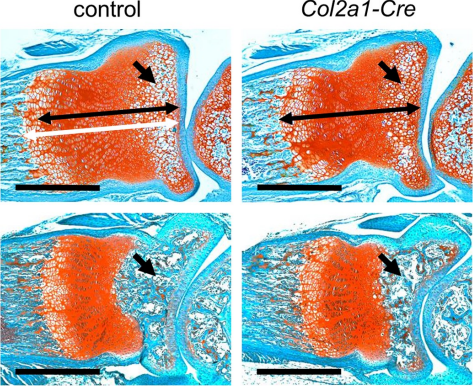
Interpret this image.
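These are sections through the end of a long bone with its cartilage. A large block of cartilage stains intense red-orange, and small chondrocytes sit within it in lacunae. Toward the shaft, the cells become larger and paler and are stacked in rows. The surrounding tissues and the joint region stain blue-green. In the upper images, enlarged pale cells are beginning to appear within the red cartilage of the epiphysis. In the lower images, this central region of the epiphysis has been replaced by a pale, spongy, marrow-like cavity, the ossification center.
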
